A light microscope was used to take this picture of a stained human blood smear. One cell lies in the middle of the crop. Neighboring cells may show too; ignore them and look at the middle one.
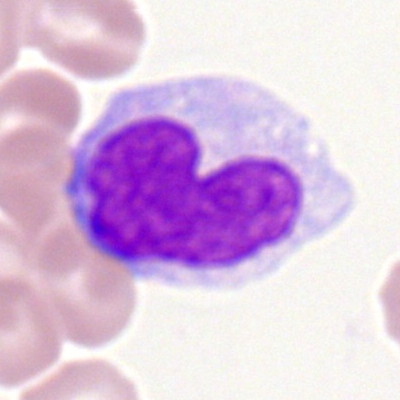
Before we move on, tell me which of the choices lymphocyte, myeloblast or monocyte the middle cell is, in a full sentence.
The cell in the exact centre of the crop is a monocyte.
